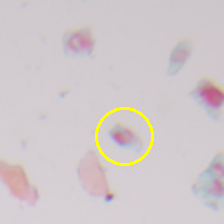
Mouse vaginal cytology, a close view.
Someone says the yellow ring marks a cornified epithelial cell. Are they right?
They are not: the ring marks a nucleated epithelial cell.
